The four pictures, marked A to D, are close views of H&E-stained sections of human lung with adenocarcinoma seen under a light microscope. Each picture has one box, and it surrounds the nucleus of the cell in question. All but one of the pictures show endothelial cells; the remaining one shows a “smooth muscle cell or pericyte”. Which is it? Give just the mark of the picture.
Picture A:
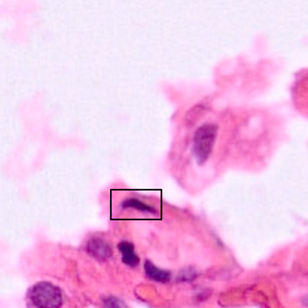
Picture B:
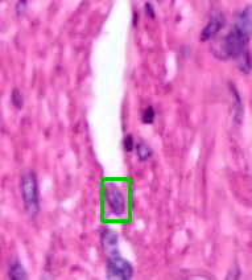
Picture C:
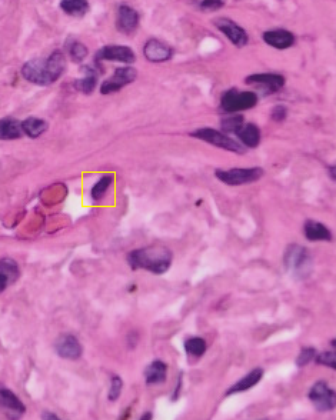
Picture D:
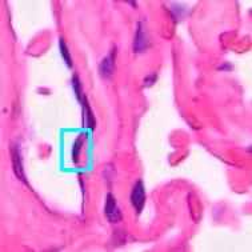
B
